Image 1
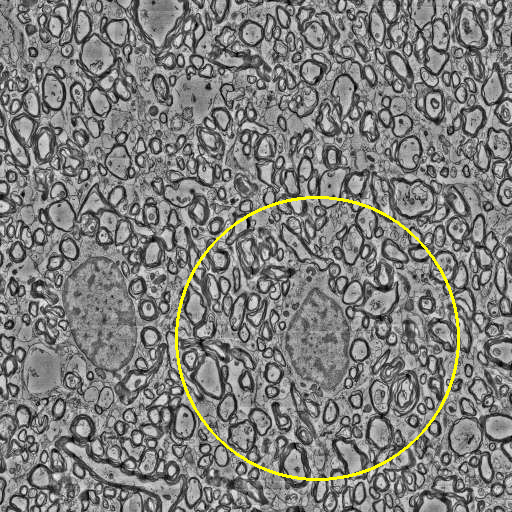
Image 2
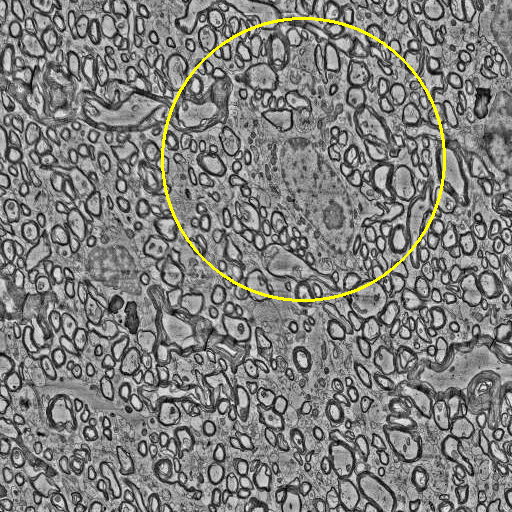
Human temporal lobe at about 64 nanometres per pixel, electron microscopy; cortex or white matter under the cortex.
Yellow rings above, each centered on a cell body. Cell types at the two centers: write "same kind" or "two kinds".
two kinds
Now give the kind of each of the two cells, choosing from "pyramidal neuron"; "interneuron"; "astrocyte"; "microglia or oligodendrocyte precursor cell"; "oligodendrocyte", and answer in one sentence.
The cell in the first picture is an oligodendrocyte, and the cell in the second is an astrocyte.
